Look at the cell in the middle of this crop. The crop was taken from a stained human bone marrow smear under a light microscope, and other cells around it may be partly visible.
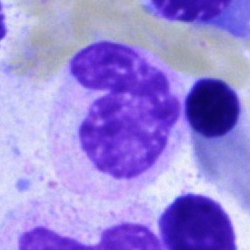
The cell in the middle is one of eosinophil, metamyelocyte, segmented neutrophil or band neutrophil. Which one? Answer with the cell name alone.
metamyelocyte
